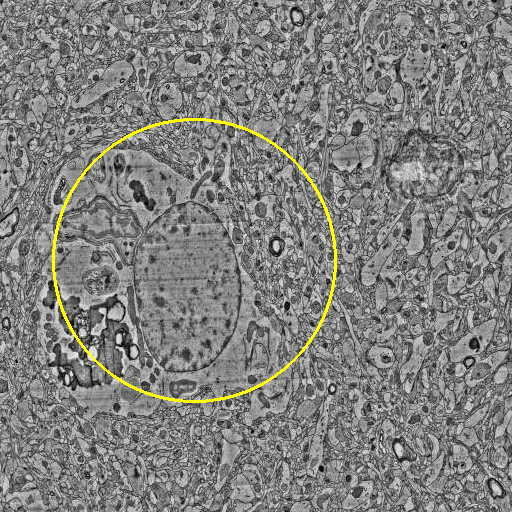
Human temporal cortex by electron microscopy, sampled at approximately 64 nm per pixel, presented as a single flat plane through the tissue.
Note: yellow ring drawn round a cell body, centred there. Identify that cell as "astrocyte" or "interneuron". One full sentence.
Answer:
The cell in the middle of the ring is an astrocyte.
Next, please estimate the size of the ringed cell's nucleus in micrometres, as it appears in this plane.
The nucleus works out at approximately 11 by 7 micrometres in this plane.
